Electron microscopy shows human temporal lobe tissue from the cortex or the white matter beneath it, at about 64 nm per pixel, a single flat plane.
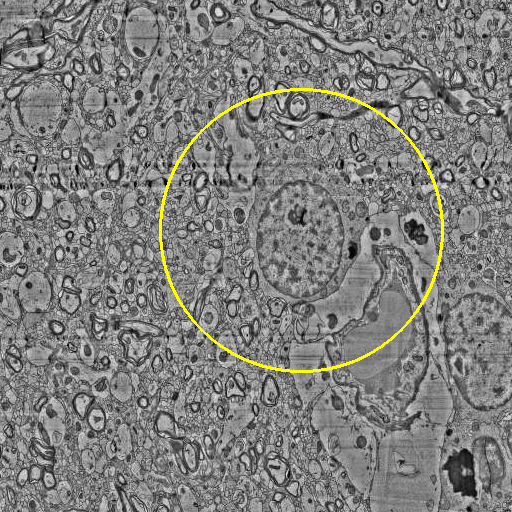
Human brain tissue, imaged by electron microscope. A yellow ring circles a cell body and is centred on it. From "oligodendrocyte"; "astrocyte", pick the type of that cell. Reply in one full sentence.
The cell body at the centre of the yellow ring belongs to an oligodendrocyte.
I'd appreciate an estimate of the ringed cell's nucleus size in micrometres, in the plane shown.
The nucleus of the ringed cell is approximately 7 by 6 micrometres in this plane.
